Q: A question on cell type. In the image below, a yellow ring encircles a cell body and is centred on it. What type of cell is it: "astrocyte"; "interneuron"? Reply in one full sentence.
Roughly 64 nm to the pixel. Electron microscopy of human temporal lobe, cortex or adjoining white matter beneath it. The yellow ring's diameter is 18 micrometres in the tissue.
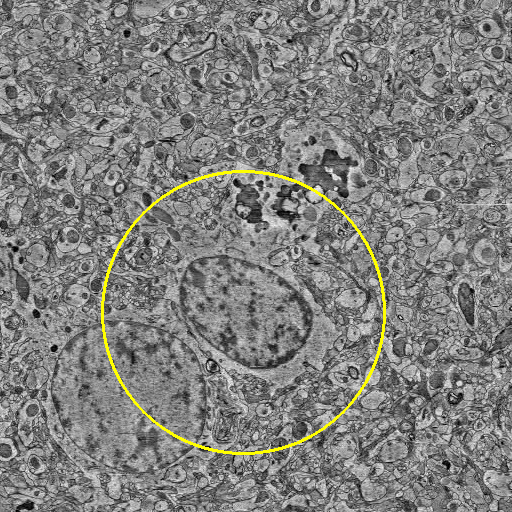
It is an astrocyte whose cell body sits at the centre of the yellow ring in the image.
